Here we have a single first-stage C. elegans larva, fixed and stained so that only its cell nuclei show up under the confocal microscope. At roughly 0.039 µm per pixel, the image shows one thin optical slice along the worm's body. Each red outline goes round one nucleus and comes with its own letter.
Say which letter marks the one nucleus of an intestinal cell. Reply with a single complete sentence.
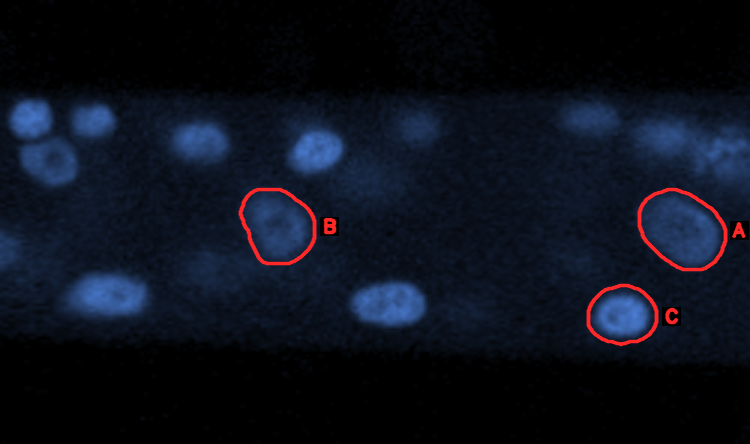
A is the nucleus of an intestinal cell.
